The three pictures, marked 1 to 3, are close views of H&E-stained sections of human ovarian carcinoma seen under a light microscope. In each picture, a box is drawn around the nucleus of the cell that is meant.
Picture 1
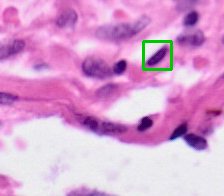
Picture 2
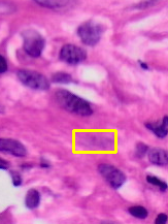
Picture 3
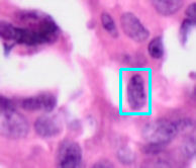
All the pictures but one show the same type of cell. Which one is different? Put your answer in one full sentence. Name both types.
Picture 3 is the odd one out: it shows a “macrophage or monocyte”, while the others show fibroblasts.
